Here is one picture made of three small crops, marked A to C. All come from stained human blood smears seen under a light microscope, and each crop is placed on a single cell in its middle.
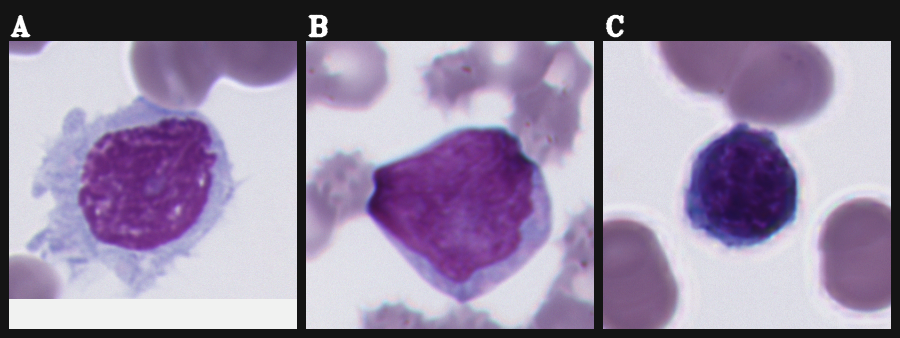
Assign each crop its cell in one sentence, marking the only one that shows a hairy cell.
In the set, crop A shows a hairy cell, whereas crop B is a myeloblast and crop C is a plasma cell.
